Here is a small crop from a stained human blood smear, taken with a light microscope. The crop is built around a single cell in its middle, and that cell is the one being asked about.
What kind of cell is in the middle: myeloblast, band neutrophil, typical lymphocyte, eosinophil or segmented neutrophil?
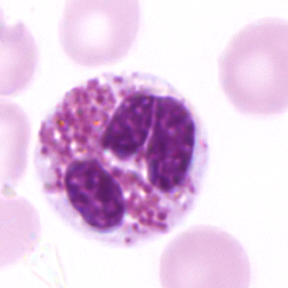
eosinophil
